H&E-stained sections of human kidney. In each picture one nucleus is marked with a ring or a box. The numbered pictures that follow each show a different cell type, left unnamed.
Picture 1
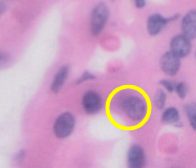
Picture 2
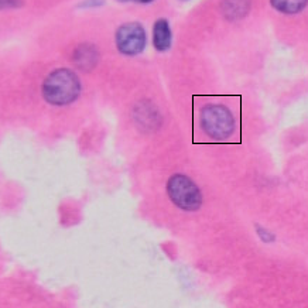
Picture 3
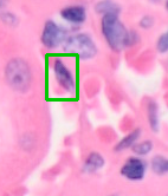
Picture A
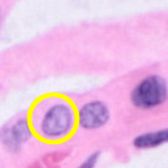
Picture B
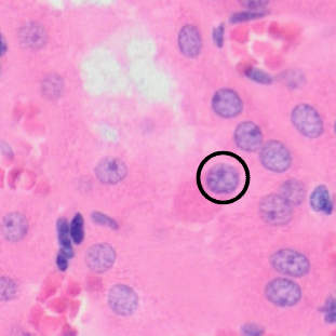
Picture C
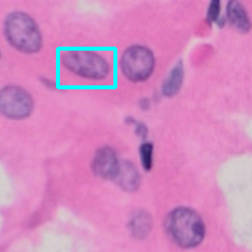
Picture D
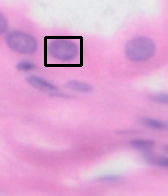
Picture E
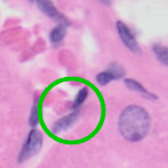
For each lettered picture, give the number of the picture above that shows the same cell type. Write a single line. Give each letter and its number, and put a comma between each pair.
A 1, B 2, C 2, D 2, E 3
